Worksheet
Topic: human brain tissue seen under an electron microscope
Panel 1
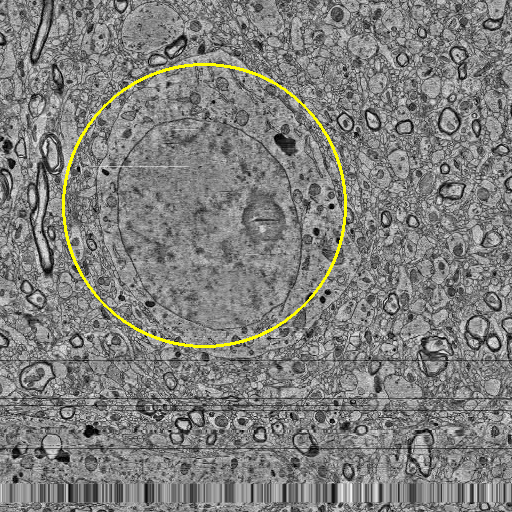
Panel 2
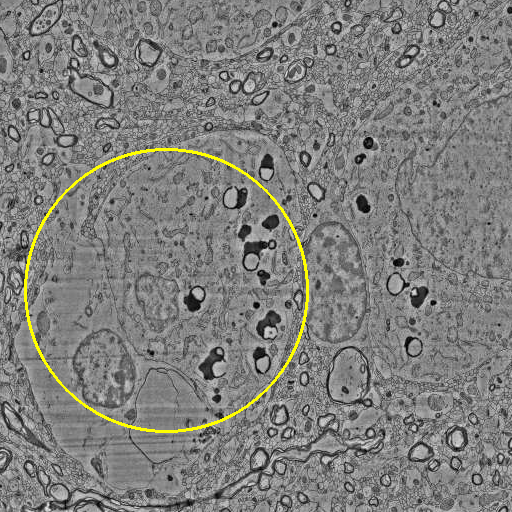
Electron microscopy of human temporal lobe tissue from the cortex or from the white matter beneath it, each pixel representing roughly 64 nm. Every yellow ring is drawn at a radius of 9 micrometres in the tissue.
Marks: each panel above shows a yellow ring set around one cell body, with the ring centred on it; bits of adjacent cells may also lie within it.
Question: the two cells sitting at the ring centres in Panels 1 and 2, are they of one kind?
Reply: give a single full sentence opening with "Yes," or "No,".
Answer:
Yes, the two ring-centre cells in Panel 1 and Panel 2 are of one kind.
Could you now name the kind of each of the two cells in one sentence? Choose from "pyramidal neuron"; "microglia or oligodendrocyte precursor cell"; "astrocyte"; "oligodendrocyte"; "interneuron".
In both pictures the ring is centred on a pyramidal neuron.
